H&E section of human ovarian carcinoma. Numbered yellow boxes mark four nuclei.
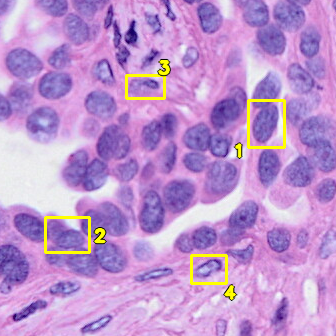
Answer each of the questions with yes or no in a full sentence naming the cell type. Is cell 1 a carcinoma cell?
Yes, regarding number 1, the cell is a carcinoma cell.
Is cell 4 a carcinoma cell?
No, cell 4 is to be classed as a fibroblast, not a carcinoma cell.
